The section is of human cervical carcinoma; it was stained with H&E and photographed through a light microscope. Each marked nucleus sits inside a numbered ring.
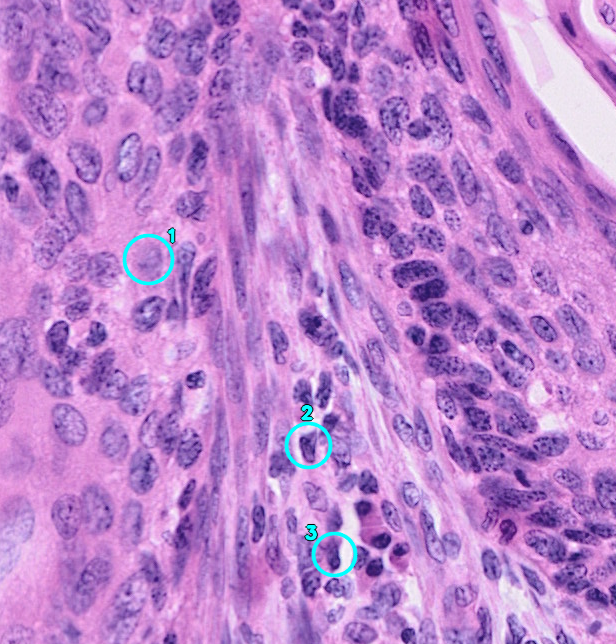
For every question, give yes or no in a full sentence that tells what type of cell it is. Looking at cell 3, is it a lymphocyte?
Yes, the cell that goes by number 3 is a lymphocyte.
